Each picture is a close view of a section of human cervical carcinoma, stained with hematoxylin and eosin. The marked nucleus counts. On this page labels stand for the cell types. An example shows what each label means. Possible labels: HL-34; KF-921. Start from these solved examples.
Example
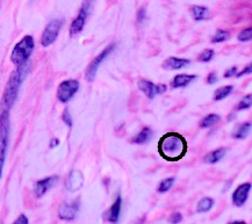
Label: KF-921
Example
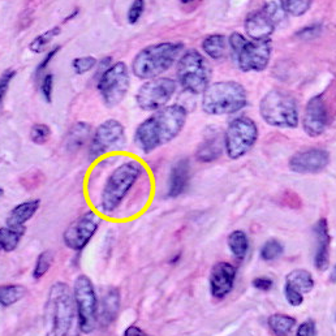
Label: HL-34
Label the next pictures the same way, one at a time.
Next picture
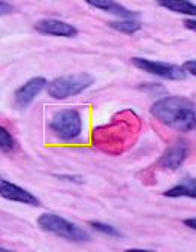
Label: HL-34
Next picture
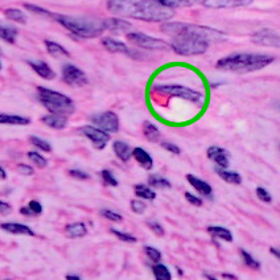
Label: HL-34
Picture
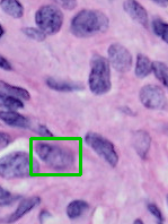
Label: HL-34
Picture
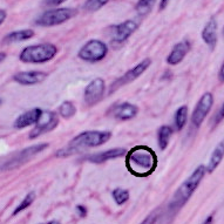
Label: KF-921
